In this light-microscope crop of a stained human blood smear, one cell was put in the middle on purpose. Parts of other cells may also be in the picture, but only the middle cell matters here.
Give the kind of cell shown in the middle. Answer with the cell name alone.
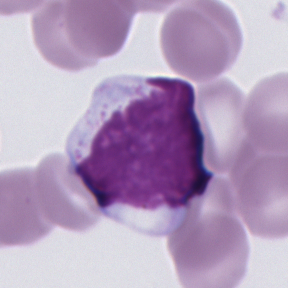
large granular lymphocyte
